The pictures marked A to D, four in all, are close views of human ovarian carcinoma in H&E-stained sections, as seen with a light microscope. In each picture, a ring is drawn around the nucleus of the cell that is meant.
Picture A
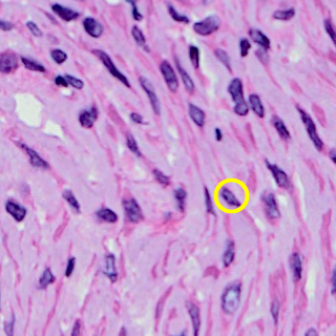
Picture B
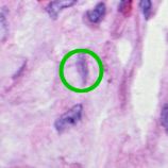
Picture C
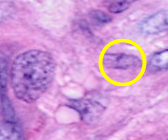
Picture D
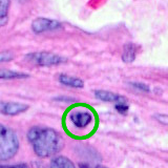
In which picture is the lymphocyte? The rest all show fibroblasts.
D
